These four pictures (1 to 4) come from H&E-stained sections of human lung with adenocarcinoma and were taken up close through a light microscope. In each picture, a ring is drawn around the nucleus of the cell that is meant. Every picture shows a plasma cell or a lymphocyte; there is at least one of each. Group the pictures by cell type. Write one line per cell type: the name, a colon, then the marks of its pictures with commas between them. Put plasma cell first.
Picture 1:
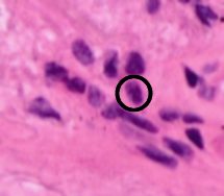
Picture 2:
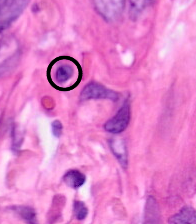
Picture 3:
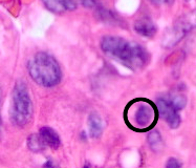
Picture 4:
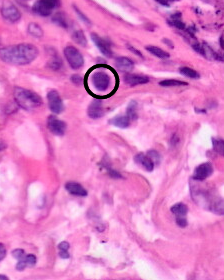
plasma cell: 1
lymphocyte: 2, 3, 4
